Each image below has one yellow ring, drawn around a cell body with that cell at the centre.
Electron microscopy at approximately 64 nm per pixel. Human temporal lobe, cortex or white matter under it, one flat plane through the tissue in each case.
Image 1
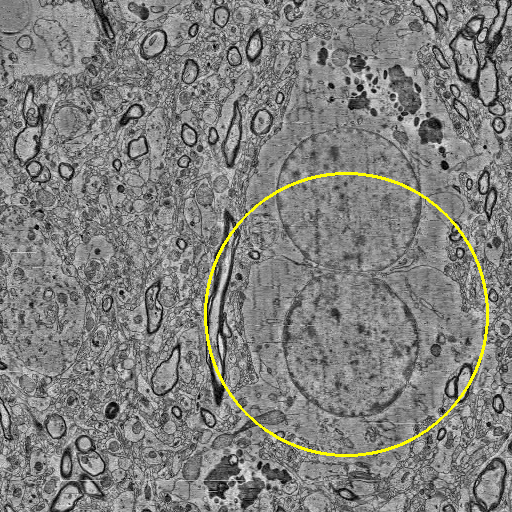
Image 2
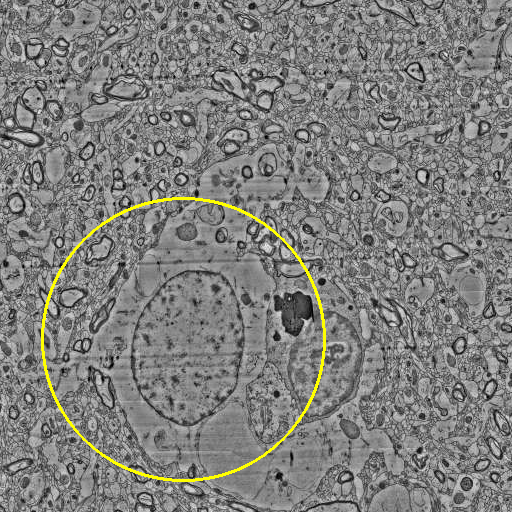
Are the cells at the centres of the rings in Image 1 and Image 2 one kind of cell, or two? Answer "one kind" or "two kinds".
one kind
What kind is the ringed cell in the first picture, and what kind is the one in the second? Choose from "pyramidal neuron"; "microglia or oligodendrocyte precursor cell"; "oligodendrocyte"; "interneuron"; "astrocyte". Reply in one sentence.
The ring centre holds an astrocyte in each of the two pictures.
